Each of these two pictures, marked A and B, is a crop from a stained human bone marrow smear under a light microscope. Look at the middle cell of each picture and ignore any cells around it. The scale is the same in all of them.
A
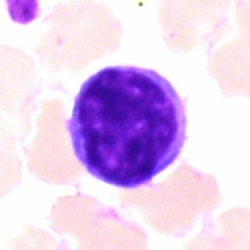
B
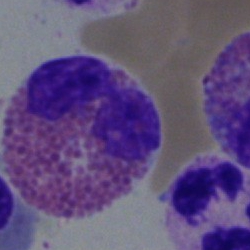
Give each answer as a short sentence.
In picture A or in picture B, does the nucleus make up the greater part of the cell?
Of the two, the nucleus in picture A makes up the greater part of its cell.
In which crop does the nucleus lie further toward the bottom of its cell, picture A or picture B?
In picture A the nucleus is shifted more toward the bottom.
